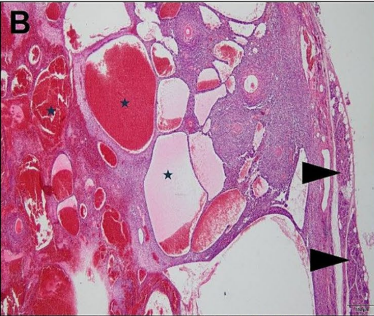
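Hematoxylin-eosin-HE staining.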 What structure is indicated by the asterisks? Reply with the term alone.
cystic vessel-like spaces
